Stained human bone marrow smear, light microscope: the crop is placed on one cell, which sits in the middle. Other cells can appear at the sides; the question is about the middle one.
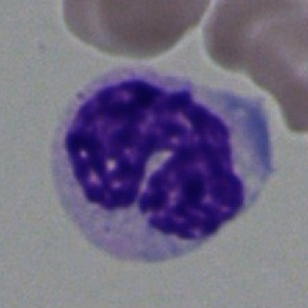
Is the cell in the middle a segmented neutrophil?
yes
